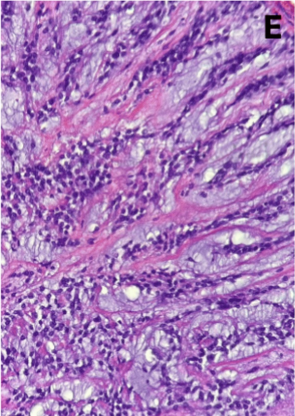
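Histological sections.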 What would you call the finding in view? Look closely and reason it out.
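Several cells contain clear round cytoplasmic vacuoles. Vacuoles vary in size between cells.
Conclusion: variably vacuolated cells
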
